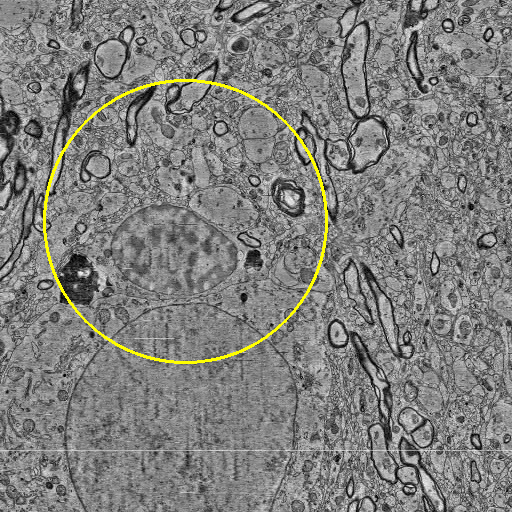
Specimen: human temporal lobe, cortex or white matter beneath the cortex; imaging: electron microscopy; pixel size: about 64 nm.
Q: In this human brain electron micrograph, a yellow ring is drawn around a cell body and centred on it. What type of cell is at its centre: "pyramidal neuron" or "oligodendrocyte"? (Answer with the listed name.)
oligodendrocyte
